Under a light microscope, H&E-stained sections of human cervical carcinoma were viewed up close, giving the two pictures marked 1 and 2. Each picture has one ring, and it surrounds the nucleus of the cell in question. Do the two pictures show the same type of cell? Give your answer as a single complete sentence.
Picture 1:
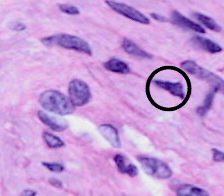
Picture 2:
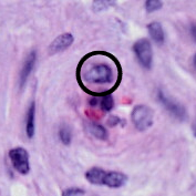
No, picture 1 shows a fibroblast and picture 2 shows an endothelial cell.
